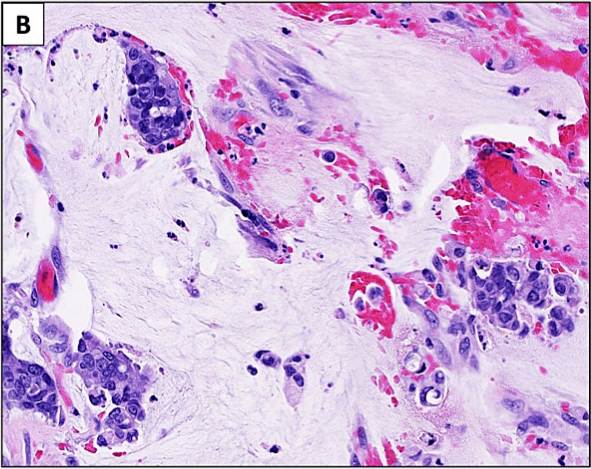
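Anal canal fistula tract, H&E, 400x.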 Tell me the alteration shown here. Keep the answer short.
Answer: Neoplastic glands with marked pleomorphism and cytologic atypia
